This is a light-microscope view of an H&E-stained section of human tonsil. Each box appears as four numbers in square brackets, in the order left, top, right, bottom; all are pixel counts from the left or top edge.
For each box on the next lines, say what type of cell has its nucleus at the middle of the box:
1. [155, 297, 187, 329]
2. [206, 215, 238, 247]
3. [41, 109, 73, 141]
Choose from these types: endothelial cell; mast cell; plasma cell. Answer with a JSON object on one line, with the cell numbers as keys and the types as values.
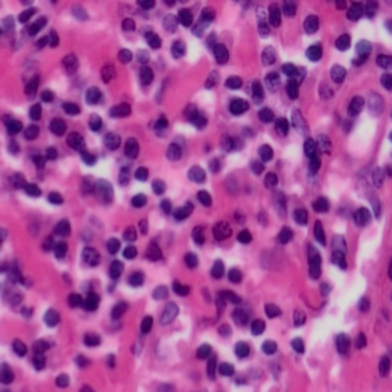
{"1": "endothelial cell", "2": "plasma cell", "3": "plasma cell"}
